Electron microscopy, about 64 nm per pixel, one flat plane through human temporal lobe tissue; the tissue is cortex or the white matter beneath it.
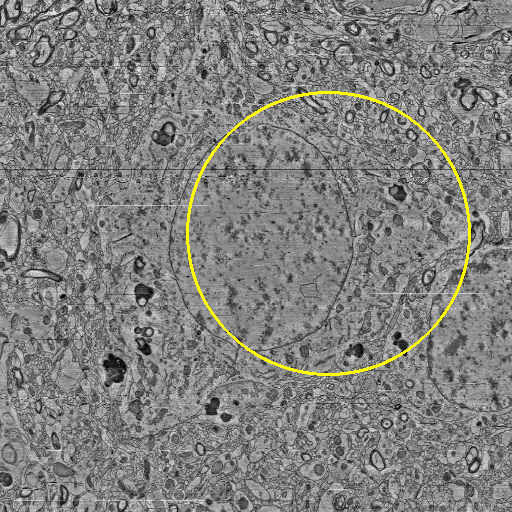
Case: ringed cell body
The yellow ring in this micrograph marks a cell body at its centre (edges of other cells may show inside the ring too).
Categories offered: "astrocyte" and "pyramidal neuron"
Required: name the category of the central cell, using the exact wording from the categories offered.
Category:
pyramidal neuron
